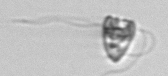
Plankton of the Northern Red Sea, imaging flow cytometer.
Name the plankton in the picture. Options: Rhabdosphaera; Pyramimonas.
Pyramimonas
